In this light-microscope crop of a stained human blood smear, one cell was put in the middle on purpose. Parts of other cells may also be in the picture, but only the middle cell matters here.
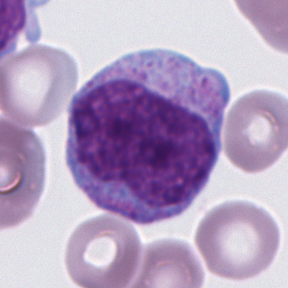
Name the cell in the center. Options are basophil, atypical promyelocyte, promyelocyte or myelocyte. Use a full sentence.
The single cell at the center of the crop is an atypical promyelocyte.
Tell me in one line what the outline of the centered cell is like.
Expected answer: a smooth cell outline without projections of any sort.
